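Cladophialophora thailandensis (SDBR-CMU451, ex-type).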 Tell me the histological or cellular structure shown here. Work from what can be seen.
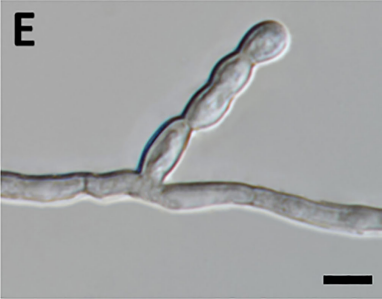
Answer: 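A short erect branch arises from a horizontal hypha. The branch carries a short chain of swollen cells ending in a rounded tip.
Answer: Conidiophore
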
